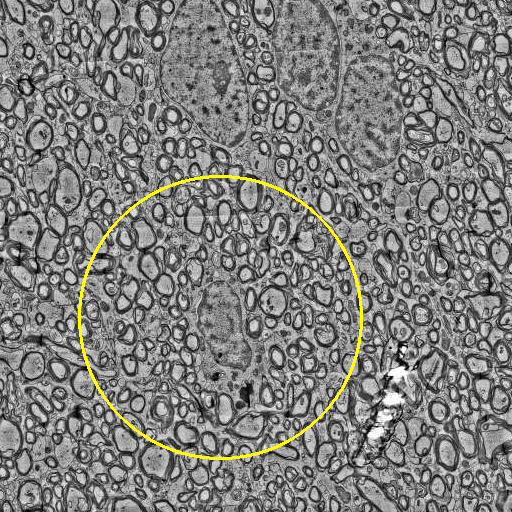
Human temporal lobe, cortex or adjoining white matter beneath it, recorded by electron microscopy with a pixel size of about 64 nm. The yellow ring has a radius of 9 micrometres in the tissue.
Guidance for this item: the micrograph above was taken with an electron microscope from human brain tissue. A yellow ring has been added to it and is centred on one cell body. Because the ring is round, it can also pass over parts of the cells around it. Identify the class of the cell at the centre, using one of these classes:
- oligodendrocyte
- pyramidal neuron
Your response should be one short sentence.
The ring surrounds the body of an oligodendrocyte.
